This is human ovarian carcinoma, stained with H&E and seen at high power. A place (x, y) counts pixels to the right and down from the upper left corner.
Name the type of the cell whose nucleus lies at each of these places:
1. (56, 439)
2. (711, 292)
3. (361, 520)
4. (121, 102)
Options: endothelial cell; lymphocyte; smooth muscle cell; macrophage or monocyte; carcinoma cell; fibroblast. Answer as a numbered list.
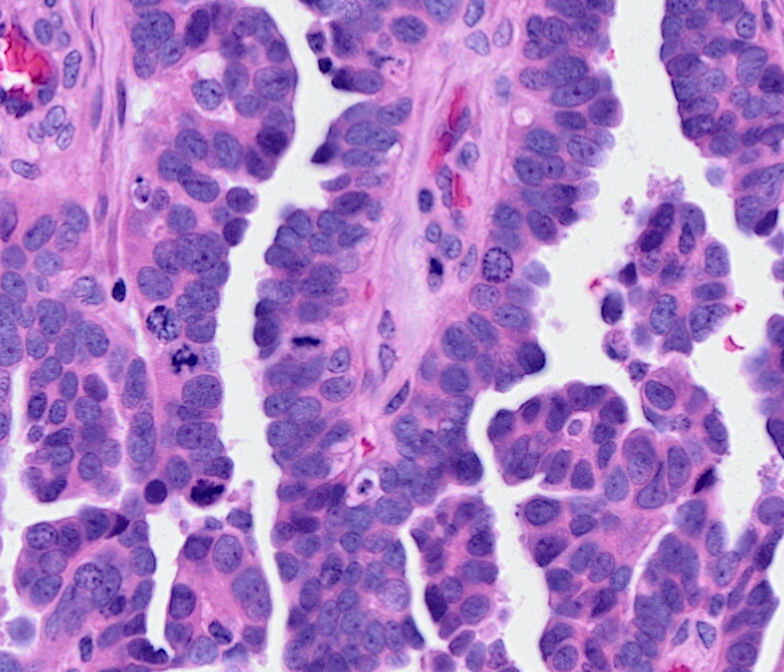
1. carcinoma cell
2. carcinoma cell
3. carcinoma cell
4. fibroblast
